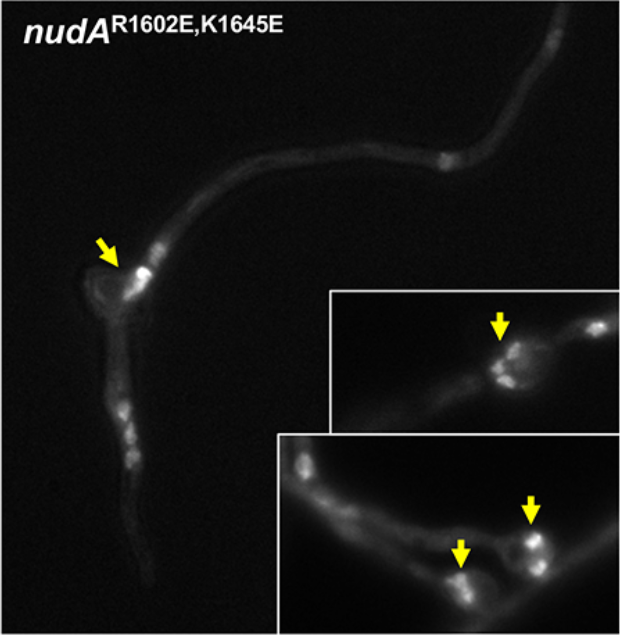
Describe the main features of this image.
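These are young fungal germlings, each a rounded spore head from which a long thin germ tube grows out, with their nuclei shown as bright spots. Several nuclei sit clumped together inside the rounded spore heads, in groups of two or three. Fewer nuclei are spread along the germ tubes themselves, leaving long stretches of the tube empty.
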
